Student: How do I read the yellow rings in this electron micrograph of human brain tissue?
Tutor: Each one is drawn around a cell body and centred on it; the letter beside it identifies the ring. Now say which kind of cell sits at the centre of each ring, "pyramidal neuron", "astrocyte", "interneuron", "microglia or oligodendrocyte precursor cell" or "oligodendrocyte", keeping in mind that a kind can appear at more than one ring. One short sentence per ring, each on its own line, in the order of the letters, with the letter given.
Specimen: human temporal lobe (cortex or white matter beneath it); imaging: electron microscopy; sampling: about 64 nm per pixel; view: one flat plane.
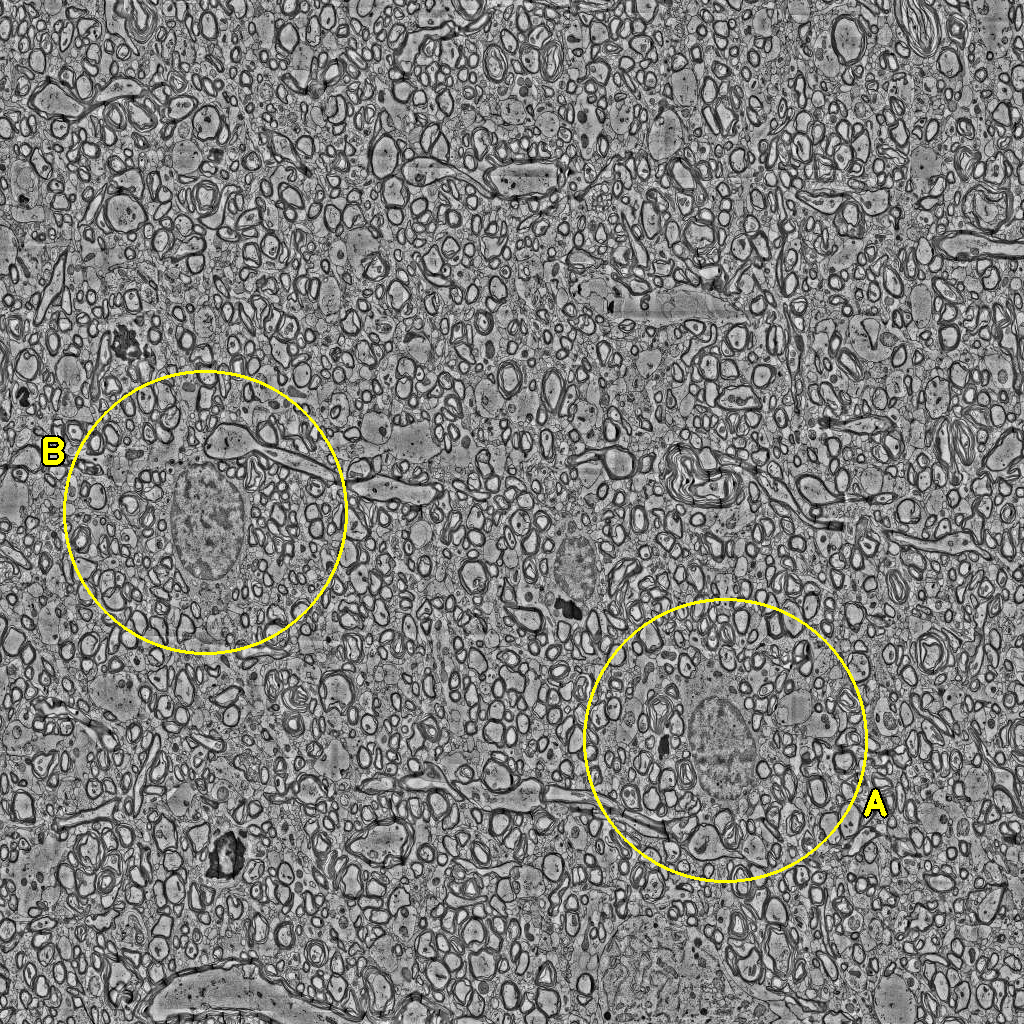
In the centre of ring A is an oligodendrocyte.
In the centre of ring B is an oligodendrocyte.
